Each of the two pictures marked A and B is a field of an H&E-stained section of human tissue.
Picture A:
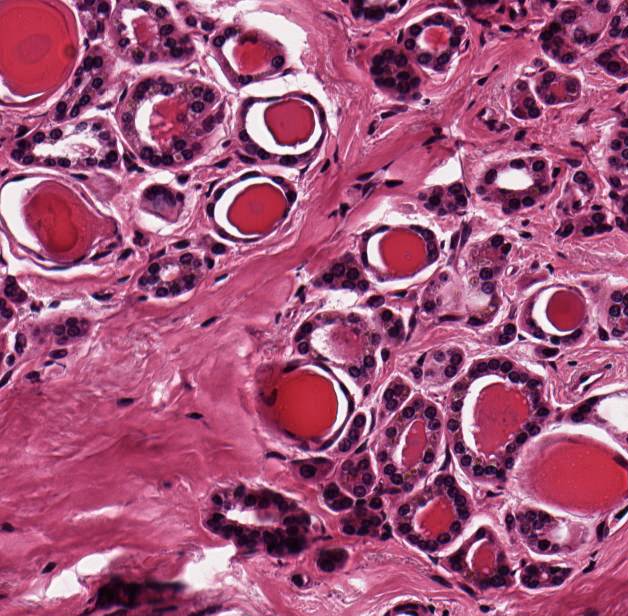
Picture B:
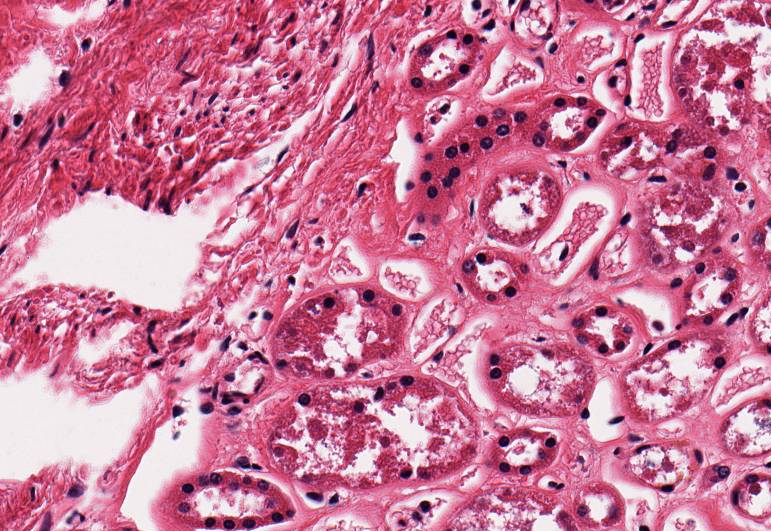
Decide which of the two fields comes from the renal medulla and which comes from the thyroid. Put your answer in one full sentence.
Picture A comes from the thyroid; picture B comes from the renal medulla.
